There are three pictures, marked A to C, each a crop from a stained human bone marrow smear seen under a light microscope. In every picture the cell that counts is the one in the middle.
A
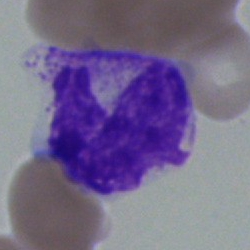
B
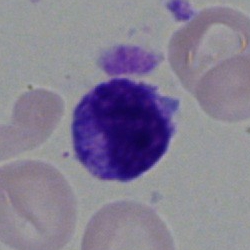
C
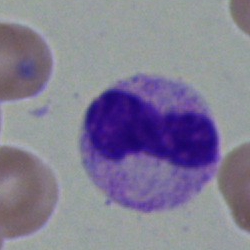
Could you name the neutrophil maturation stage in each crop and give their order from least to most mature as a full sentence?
The order from the least mature cell to the most mature cell is crop B (a myelocyte), crop A (a metamyelocyte) and crop C (a band neutrophil).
